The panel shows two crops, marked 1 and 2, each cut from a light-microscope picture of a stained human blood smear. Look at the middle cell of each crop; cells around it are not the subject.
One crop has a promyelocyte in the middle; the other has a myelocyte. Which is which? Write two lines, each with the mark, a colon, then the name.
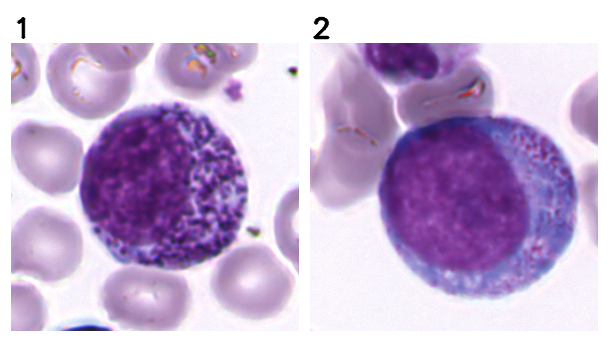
1: myelocyte
2: promyelocyte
